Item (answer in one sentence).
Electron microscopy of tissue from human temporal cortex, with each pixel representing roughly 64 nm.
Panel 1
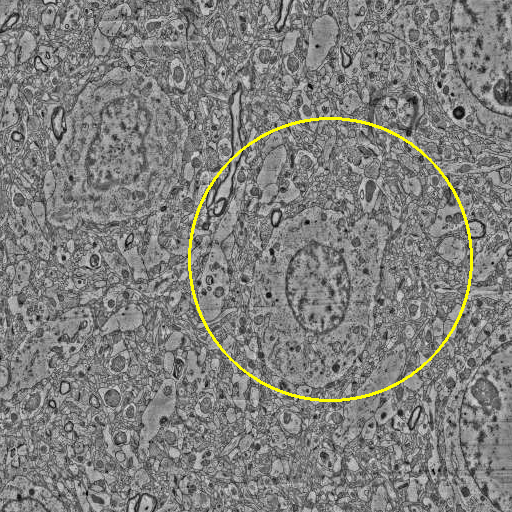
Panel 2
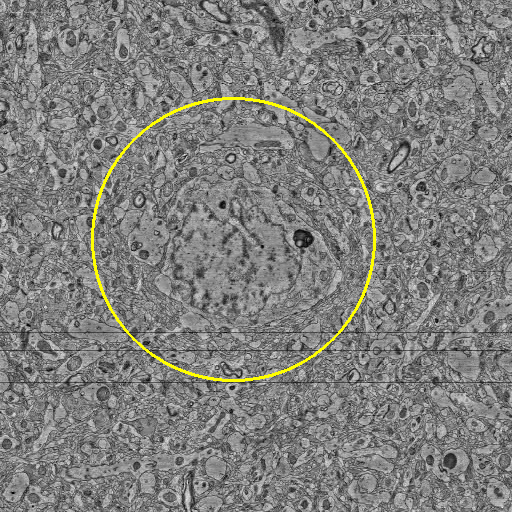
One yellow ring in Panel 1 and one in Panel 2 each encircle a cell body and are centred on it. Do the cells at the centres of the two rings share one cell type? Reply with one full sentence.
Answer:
No, Panel 1 and Panel 2 show cells of two types at the centres of their rings.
